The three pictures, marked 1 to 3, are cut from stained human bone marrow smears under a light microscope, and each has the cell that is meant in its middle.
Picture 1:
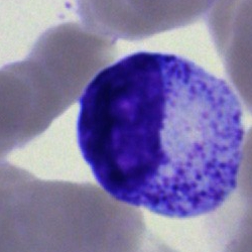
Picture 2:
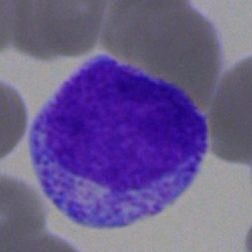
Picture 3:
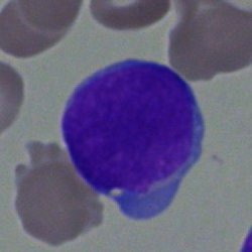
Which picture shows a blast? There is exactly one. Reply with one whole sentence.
The cell in picture 3 is the blast.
